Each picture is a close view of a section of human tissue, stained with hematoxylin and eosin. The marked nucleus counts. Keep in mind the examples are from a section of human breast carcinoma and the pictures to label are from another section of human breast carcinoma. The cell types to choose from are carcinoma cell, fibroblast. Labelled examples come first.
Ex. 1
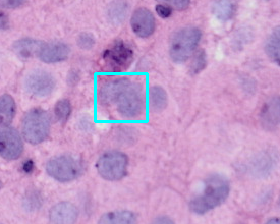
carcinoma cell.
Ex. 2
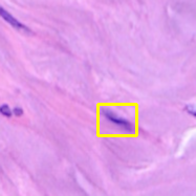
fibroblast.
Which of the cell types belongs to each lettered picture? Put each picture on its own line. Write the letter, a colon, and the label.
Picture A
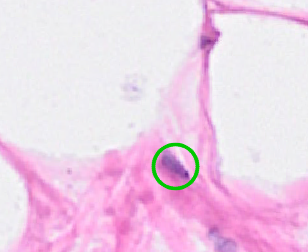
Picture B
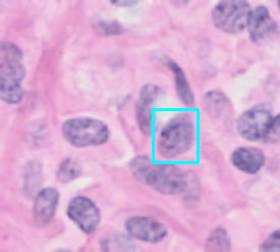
A: fibroblast.
B: carcinoma cell.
